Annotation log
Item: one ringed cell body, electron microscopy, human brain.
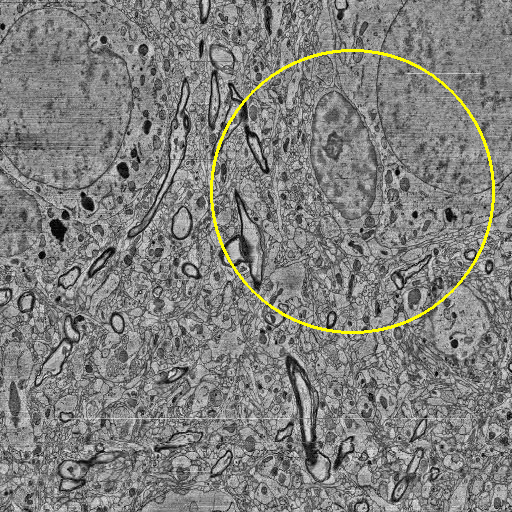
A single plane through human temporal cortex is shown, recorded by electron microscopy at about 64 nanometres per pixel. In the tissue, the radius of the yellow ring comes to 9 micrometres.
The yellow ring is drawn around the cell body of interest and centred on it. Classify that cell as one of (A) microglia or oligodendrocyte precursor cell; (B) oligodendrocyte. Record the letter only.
B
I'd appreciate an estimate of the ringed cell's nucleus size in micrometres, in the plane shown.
In this plane the nucleus measures about 9 by 4 micrometres and is clearly longer than it is wide.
